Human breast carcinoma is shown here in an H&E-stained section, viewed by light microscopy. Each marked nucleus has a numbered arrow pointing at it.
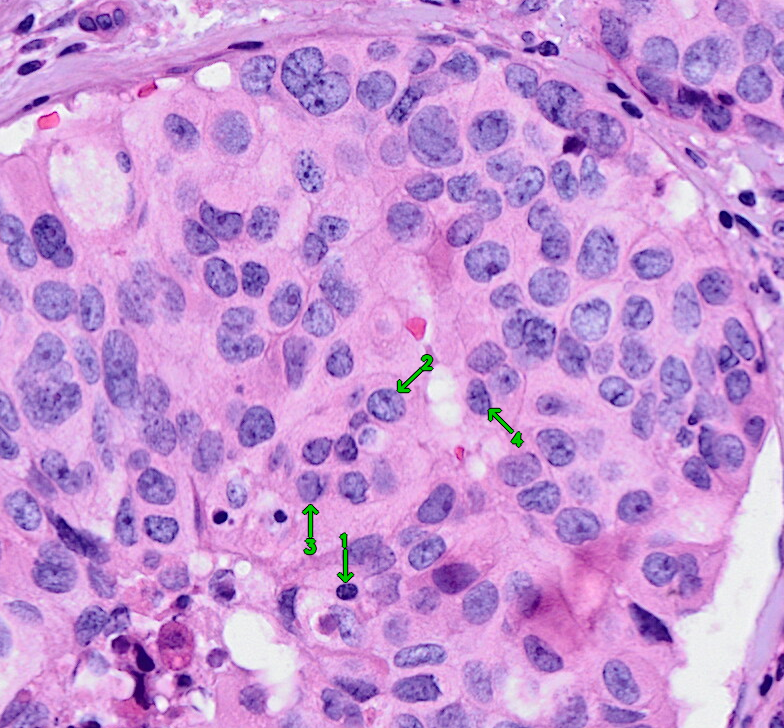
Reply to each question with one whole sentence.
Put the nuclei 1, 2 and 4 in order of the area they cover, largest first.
Going from the biggest nucleus down to the smallest gives 2, 4, 1.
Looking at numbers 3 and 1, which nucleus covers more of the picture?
The larger nucleus is 3, at roughly 2 times the area of 1.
